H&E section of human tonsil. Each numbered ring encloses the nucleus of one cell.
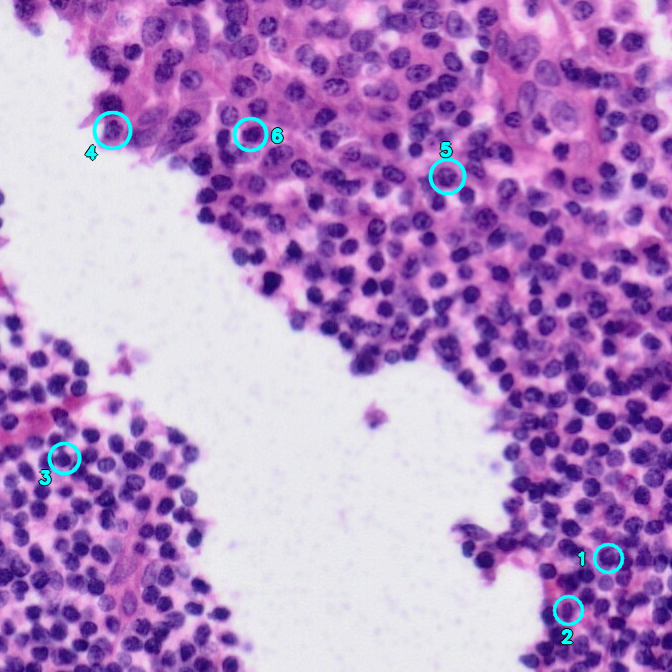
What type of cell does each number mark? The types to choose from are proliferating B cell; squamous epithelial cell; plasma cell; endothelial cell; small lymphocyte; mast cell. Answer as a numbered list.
1. small lymphocyte
2. small lymphocyte
3. small lymphocyte
4. plasma cell
5. plasma cell
6. plasma cell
